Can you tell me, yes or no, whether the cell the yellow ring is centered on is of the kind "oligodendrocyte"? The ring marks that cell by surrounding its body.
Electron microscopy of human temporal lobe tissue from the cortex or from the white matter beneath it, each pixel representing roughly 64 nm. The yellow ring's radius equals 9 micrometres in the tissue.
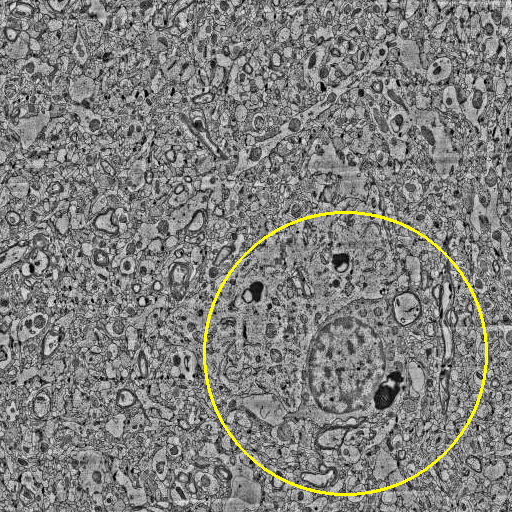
yes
